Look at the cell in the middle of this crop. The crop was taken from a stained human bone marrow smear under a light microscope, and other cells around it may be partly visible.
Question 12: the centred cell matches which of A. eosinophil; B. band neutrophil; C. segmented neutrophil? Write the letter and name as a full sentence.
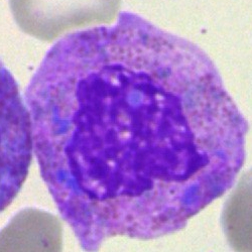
Identified correctly by option A, the cell in the middle is an eosinophil.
